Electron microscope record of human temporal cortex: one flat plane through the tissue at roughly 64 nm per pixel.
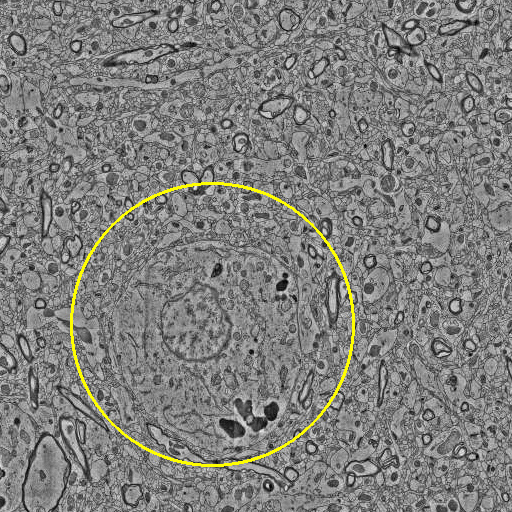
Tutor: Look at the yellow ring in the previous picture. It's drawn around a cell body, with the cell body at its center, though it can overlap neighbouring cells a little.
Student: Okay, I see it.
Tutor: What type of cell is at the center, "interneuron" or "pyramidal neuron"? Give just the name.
pyramidal neuron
